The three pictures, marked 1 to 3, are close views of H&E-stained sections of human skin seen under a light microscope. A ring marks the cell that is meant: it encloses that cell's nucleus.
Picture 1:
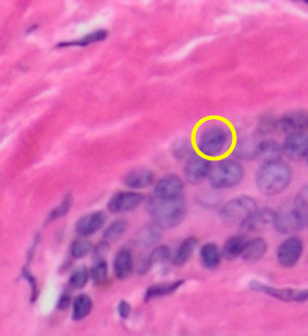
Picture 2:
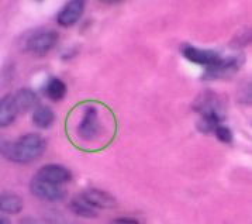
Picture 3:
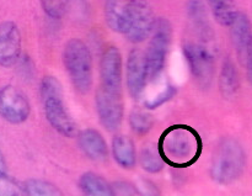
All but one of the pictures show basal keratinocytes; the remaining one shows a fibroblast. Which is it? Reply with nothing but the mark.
2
